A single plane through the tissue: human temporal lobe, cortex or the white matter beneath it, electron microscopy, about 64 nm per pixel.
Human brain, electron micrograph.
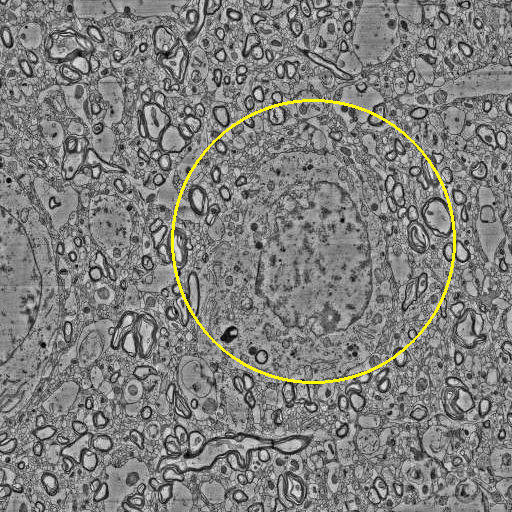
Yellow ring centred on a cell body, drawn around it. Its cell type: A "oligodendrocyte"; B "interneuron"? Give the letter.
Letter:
B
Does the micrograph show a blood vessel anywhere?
No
